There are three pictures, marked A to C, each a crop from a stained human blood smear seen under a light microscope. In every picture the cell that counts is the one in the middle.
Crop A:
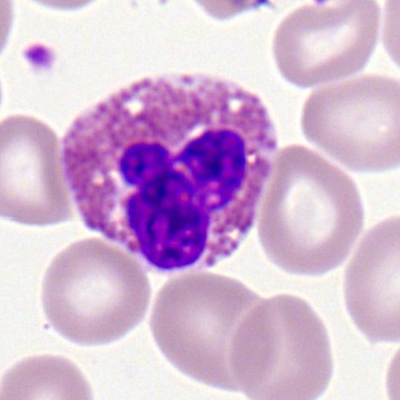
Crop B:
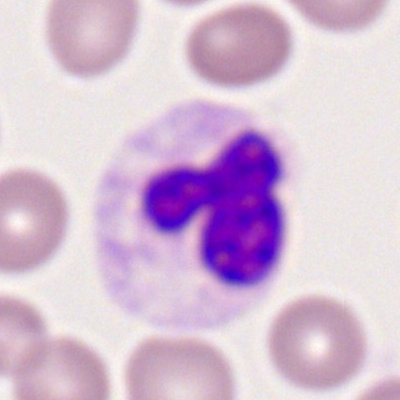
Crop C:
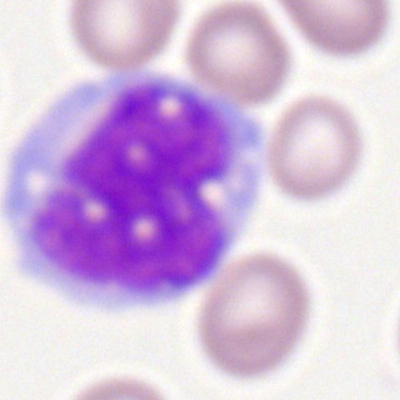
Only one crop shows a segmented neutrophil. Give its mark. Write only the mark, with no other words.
B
